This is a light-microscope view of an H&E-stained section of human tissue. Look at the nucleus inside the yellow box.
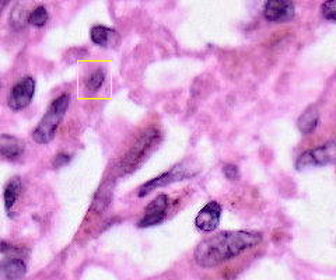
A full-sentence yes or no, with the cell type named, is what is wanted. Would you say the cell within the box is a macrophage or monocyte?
Yes, the claim that the cell within the box is a macrophage or monocyte holds true.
